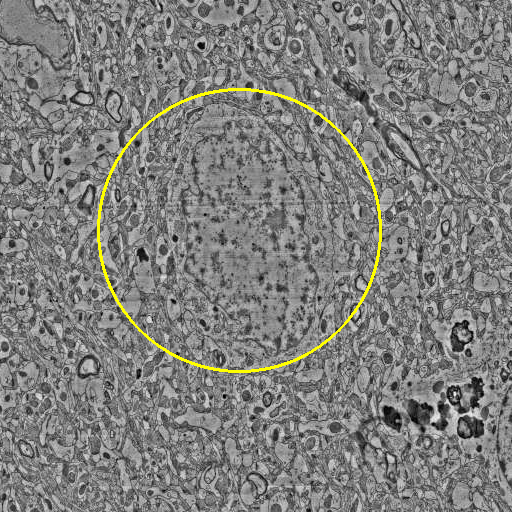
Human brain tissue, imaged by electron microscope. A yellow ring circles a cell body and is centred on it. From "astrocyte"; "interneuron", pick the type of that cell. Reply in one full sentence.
The cell body at the centre of the yellow ring belongs to an interneuron.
